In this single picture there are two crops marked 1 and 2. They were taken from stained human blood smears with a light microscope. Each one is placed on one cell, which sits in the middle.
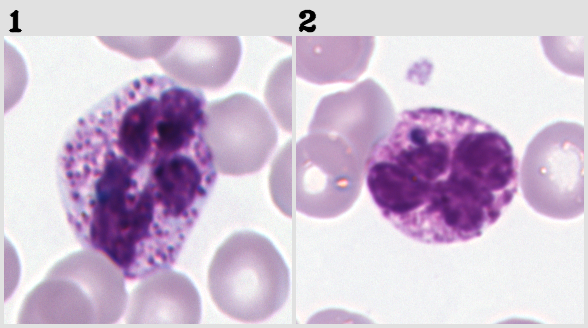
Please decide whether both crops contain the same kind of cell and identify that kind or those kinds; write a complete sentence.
Yes, the cells at the middle of both crops are basophils.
